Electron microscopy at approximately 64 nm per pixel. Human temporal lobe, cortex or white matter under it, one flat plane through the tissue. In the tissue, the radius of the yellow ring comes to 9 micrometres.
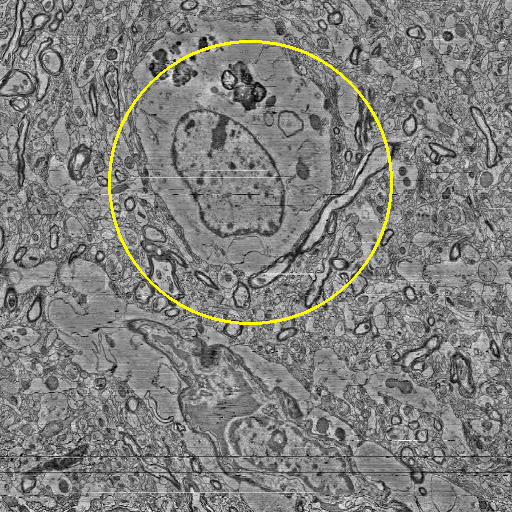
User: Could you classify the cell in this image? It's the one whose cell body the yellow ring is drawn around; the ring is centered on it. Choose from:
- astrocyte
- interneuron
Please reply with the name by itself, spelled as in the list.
astrocyte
